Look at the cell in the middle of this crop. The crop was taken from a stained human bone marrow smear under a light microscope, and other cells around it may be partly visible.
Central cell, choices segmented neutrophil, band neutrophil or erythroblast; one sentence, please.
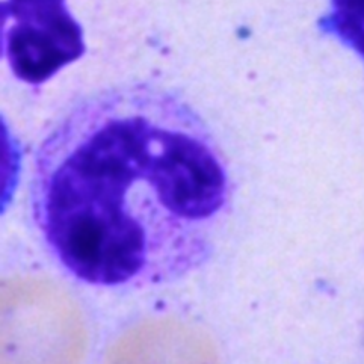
In the center of this field lies a band neutrophil.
